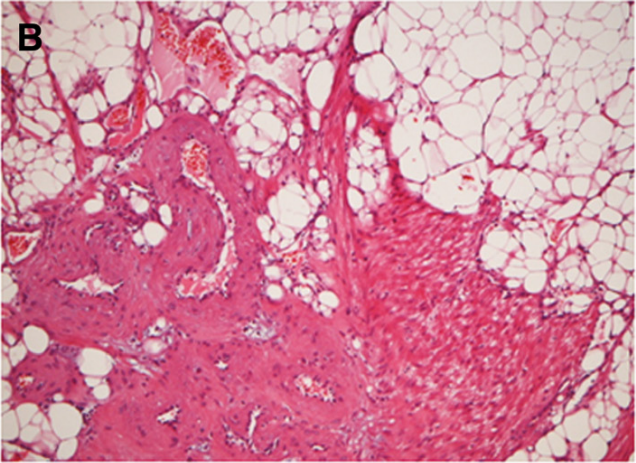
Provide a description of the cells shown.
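Dense pink bundles of elongated cells with slender to oval nuclei sweep through the field, set among large clear empty spaces bordered by thin membranes. Irregular open channels, some filled with red blood cells, are embedded within and beside the pink bundles. The clear spaces are mature fat cells, the pink spindle to oval cells are muscle cells, and the channels are irregular vessels, a mixture of fat, muscle and vessels in one tumor.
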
